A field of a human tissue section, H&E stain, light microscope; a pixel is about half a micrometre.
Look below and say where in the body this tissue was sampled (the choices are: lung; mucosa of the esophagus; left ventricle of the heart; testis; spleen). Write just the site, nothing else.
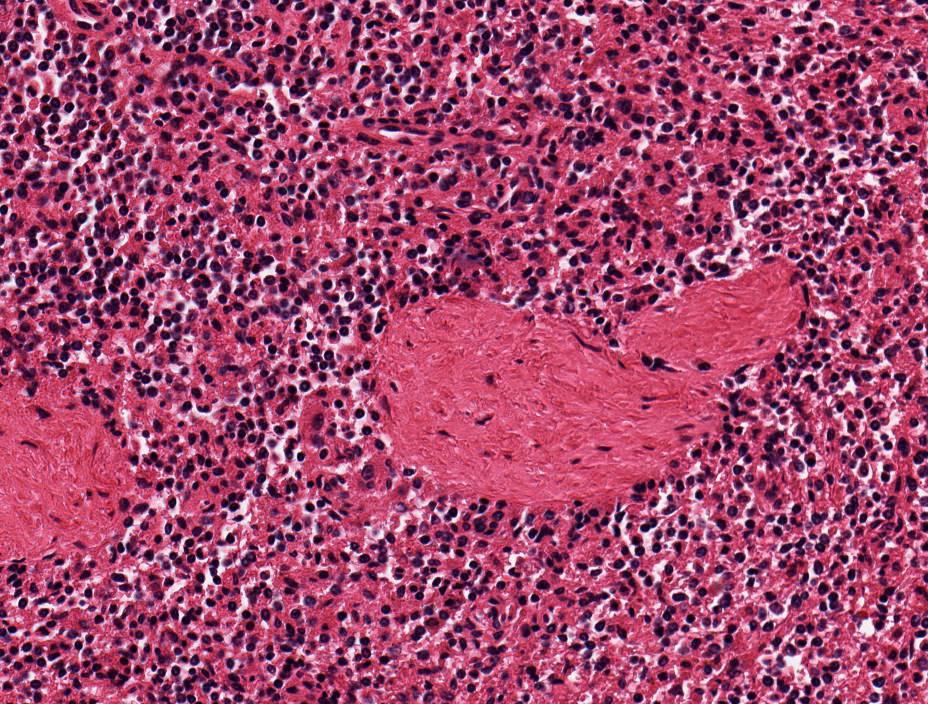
spleen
